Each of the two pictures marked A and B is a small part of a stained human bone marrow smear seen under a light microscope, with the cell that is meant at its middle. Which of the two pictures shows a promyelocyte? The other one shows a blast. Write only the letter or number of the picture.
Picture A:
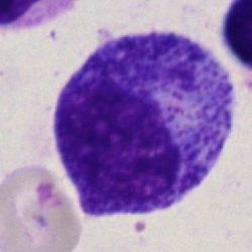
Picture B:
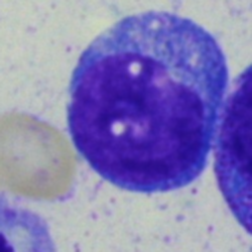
A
